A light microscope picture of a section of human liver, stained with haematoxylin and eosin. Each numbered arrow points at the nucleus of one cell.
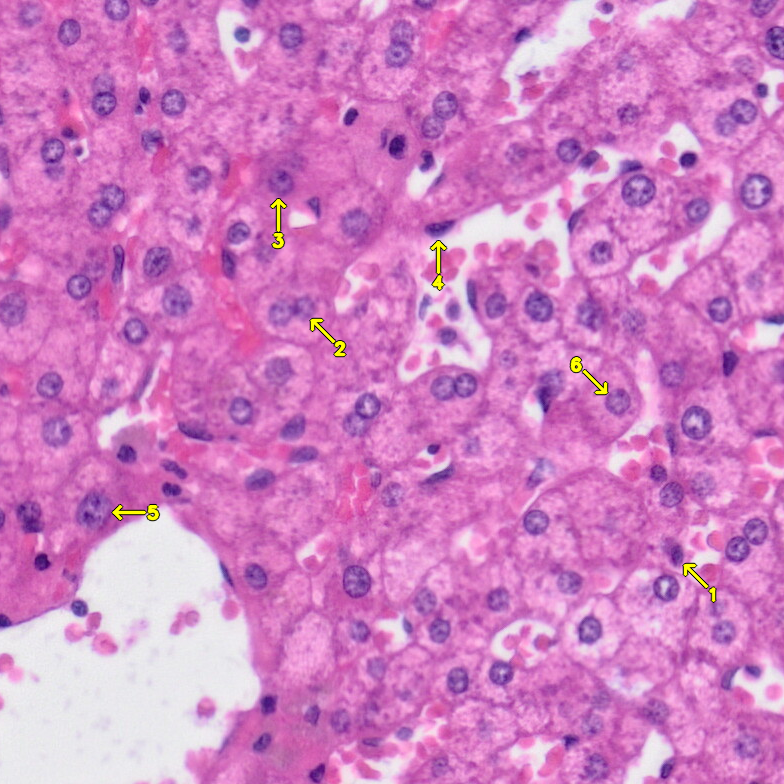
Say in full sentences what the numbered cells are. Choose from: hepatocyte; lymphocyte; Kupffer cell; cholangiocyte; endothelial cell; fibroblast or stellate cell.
Cell 1 is a Kupffer cell, cell 2 is a hepatocyte, cell 3 is a hepatocyte, cell 4 is a fibroblast or stellate cell, cell 5 is a hepatocyte and cell 6 is a hepatocyte.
